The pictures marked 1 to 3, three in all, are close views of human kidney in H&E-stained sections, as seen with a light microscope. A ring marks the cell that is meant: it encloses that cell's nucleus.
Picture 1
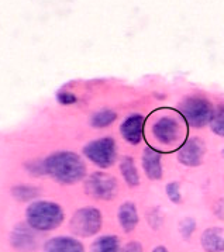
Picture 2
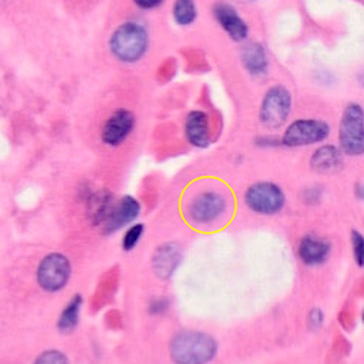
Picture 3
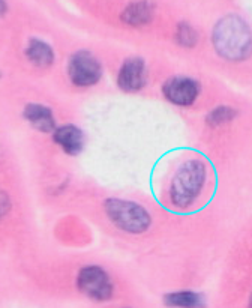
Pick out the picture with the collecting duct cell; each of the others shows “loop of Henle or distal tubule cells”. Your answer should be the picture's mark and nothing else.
1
